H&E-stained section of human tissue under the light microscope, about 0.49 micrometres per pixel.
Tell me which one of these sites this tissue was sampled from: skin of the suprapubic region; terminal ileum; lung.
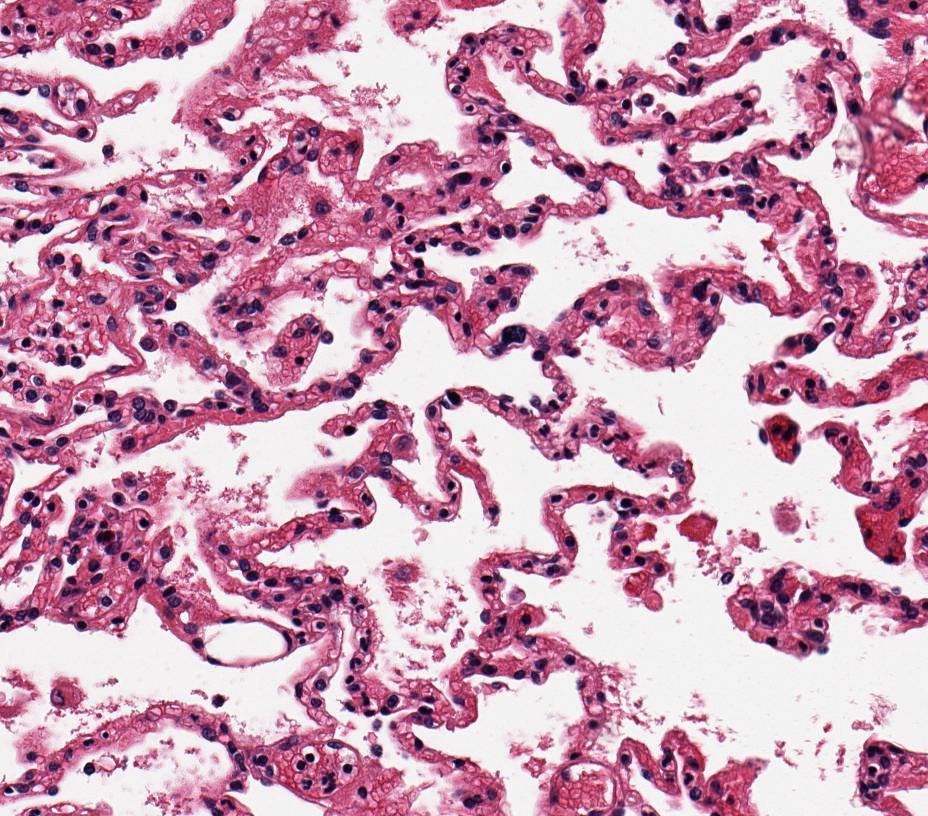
lung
